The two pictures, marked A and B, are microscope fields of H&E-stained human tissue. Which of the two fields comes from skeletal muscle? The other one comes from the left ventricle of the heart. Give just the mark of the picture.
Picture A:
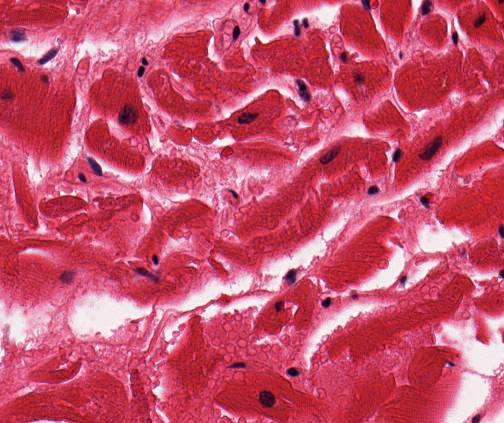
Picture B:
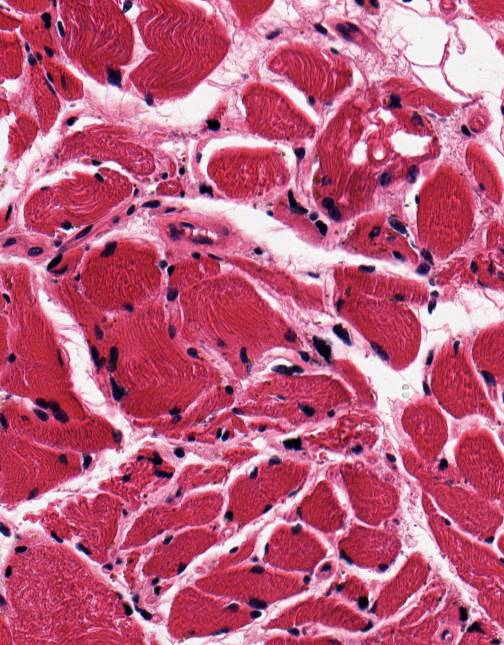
B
